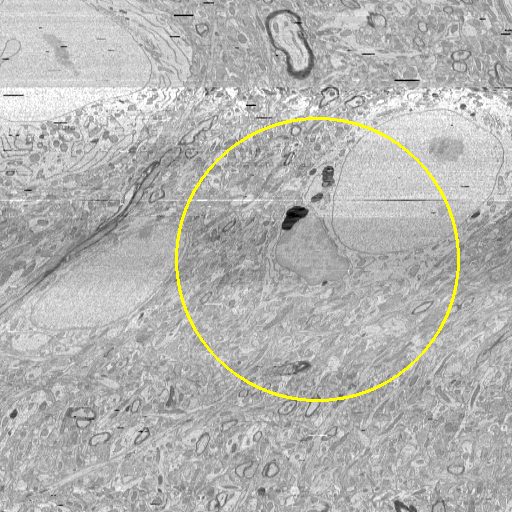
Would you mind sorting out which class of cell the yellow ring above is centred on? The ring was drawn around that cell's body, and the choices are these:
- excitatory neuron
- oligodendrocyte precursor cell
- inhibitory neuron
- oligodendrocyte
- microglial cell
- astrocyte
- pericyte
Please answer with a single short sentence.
This is the cell body of a microglial cell.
